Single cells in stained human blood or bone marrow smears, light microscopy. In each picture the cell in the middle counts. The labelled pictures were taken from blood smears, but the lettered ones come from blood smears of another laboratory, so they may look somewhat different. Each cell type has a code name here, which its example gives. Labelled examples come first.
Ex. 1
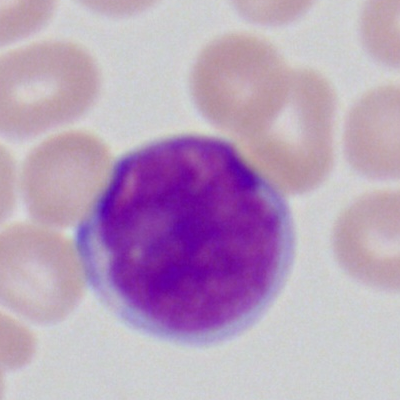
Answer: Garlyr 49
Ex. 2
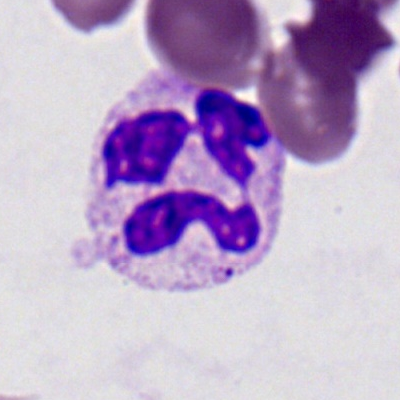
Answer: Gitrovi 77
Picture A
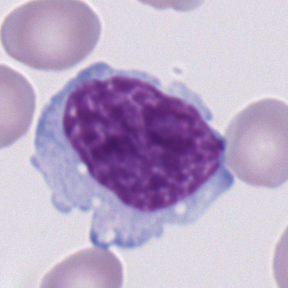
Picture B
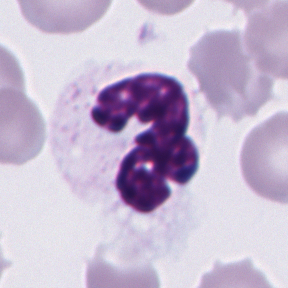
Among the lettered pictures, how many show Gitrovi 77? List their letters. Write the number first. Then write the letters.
1: B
